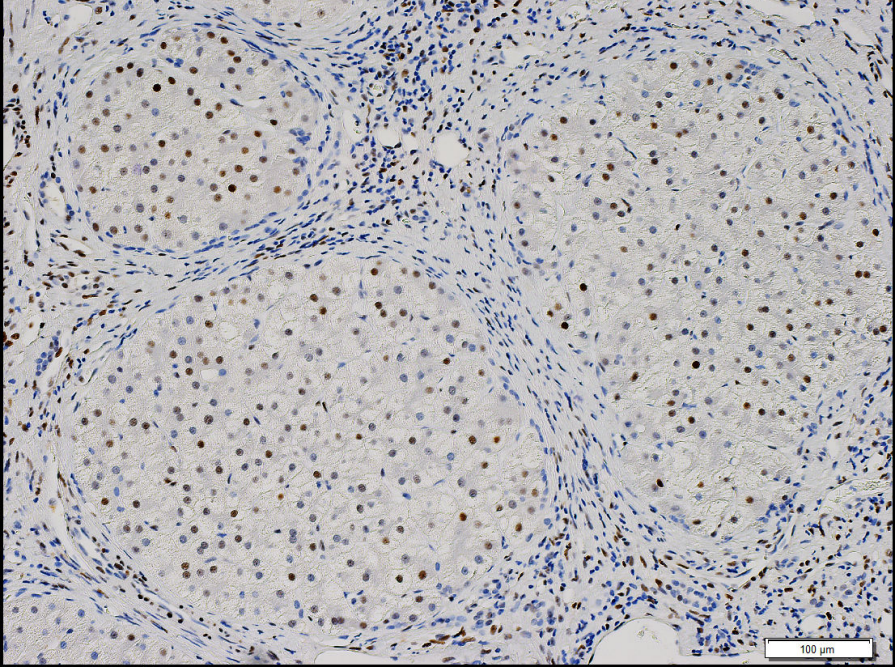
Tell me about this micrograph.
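Cirrhotic liver with rounded nodules of hepatocytes separated by bands of fibrous tissue. The septa between the nodules consist of pale connective tissue containing many small, elongated and round blue nuclei of stromal and inflammatory cells. Most of these septal nuclei are blue, though scattered brown nuclei are also present in the septa. The dense clusters of small round nuclei in the septa suggest lymphocytes.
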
